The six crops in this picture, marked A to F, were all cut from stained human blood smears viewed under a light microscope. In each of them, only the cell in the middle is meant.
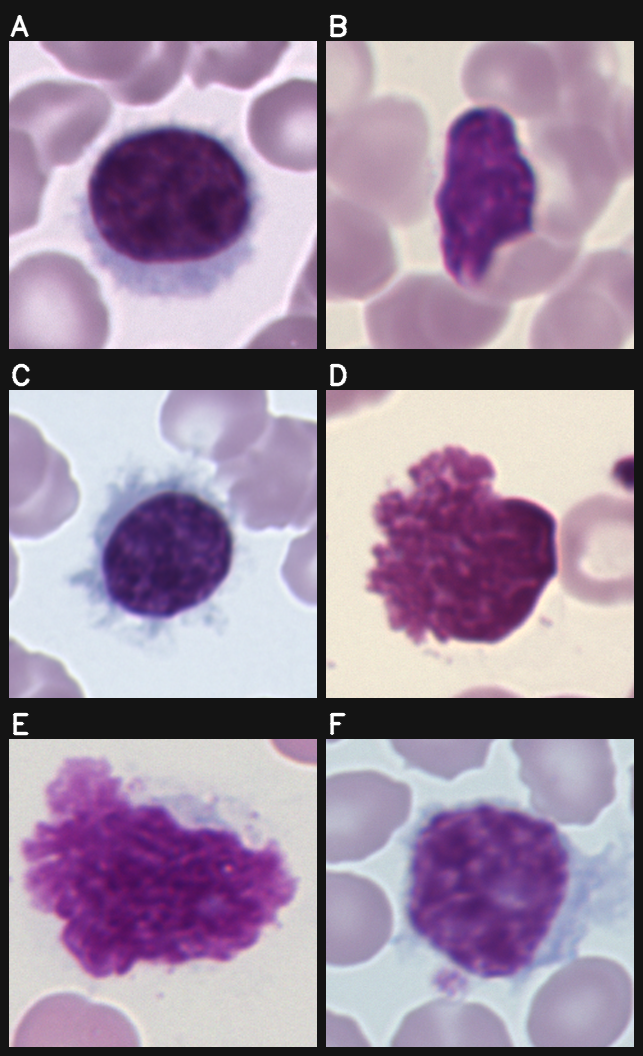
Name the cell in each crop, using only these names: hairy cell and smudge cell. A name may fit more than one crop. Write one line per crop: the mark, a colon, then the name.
A: hairy cell
B: smudge cell
C: hairy cell
D: smudge cell
E: smudge cell
F: hairy cell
